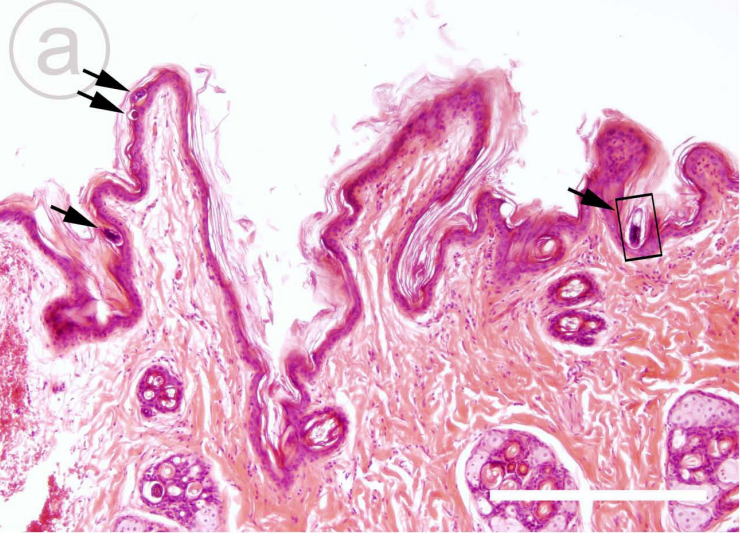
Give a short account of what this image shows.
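This is a low-power section of skin with a folded epidermis above a pink dermis. The epidermis forms tall, narrow, undulating folds covered by a thin purple cell layer and a pale pink keratin layer. Small oval bodies sit within the superficial keratin layer at several places along the folds. The dermis consists of wavy pink collagen bundles with scattered nuclei, and contains round cross-sections of hair follicles and clusters of pale, vacuolated glandular cells.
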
